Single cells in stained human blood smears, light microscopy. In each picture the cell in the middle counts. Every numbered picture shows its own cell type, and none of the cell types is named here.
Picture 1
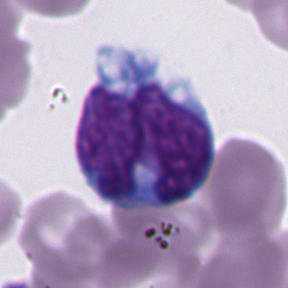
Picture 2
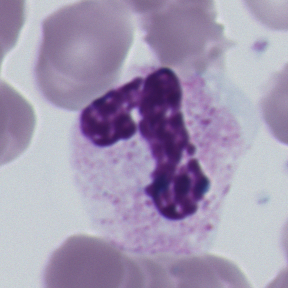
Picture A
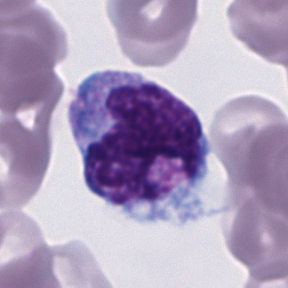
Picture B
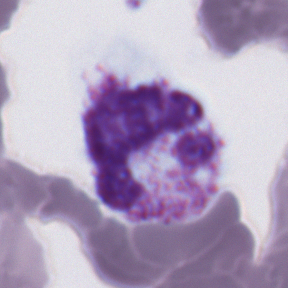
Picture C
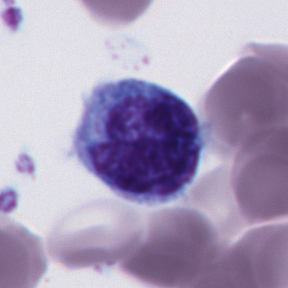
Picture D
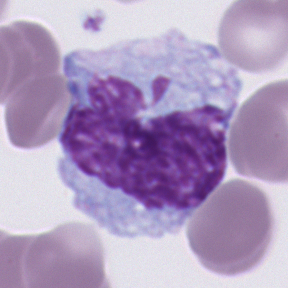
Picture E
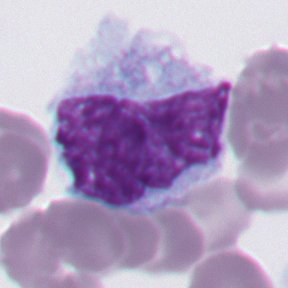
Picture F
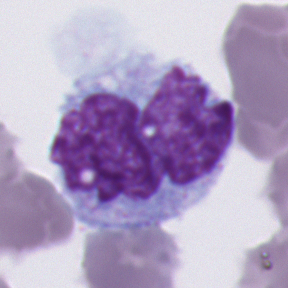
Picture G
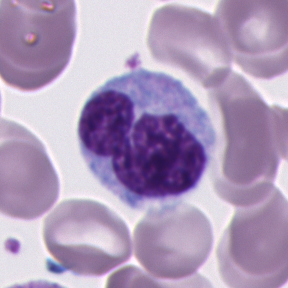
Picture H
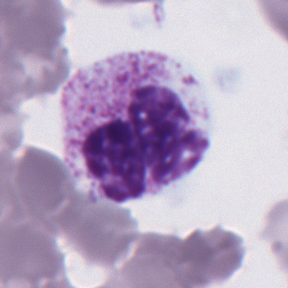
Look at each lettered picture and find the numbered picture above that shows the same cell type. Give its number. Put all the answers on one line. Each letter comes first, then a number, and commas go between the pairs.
A 1, B 2, C 1, D 1, E 1, F 1, G 1, H 2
